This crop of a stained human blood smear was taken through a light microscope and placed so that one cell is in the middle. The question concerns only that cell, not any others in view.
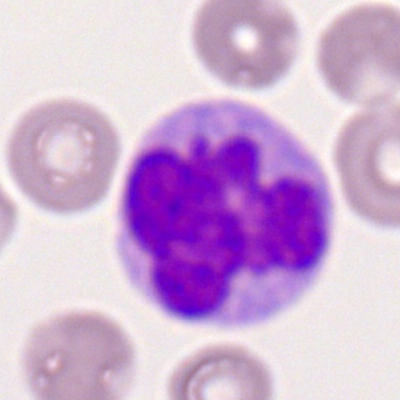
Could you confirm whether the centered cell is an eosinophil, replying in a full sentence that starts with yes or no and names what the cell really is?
No, the central cell does not represent an eosinophil, but a monocyte.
